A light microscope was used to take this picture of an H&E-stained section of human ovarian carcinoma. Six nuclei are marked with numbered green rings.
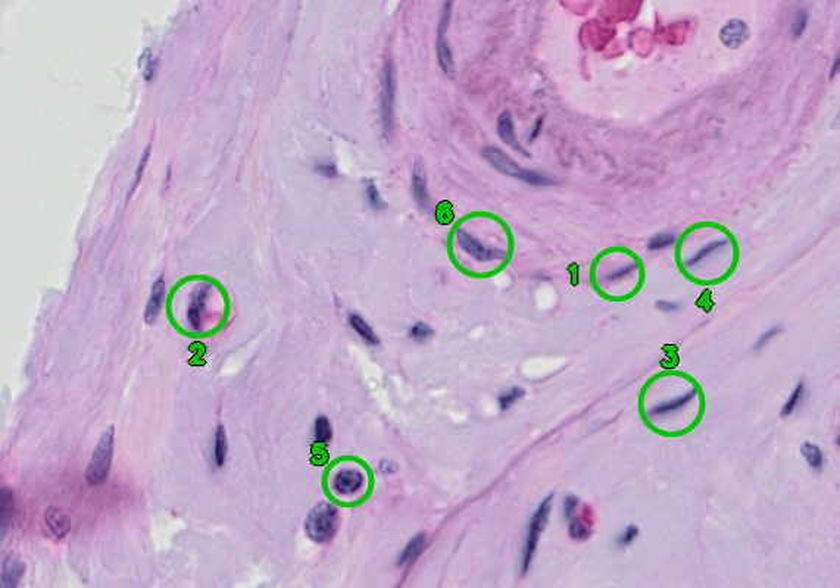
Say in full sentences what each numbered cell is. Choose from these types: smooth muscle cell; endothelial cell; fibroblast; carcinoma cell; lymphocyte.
Cells 1 and 6 are smooth muscle cells. Cell 2 is an endothelial cell. Cells 3 and 4 are fibroblasts. Cell 5 is a lymphocyte.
